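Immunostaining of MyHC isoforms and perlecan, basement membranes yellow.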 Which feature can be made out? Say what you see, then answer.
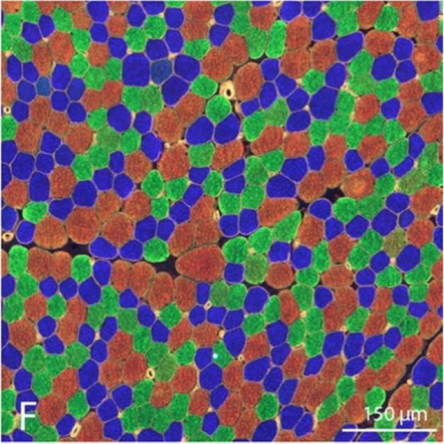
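Fibers of blue, green and red colour are intermingled. Fibers are of fairly uniform size and tightly packed. So: normal mosaic pattern of three different fiber types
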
